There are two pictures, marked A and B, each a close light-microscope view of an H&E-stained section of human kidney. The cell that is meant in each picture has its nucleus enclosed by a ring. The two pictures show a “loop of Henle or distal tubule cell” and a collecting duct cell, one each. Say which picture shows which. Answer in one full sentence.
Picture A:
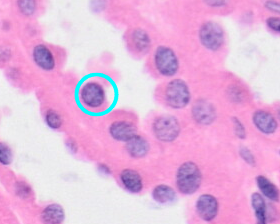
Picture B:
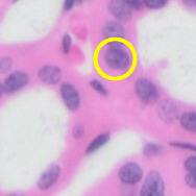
Picture B shows a collecting duct cell, while picture A shows a “loop of Henle or distal tubule cell”.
